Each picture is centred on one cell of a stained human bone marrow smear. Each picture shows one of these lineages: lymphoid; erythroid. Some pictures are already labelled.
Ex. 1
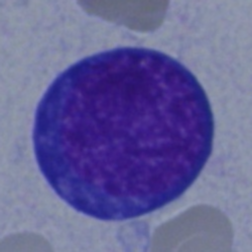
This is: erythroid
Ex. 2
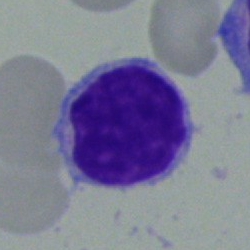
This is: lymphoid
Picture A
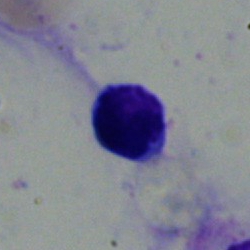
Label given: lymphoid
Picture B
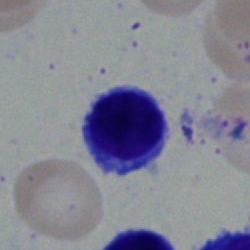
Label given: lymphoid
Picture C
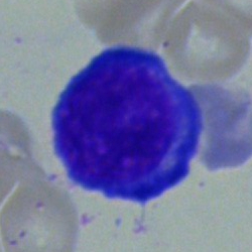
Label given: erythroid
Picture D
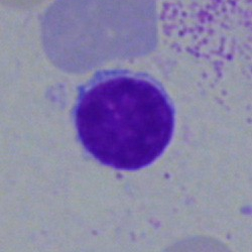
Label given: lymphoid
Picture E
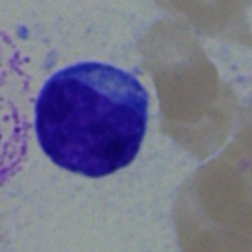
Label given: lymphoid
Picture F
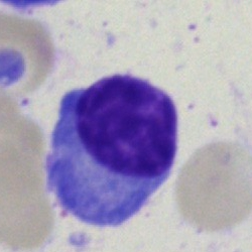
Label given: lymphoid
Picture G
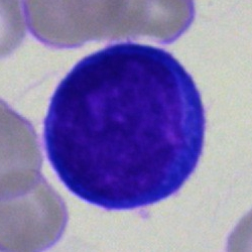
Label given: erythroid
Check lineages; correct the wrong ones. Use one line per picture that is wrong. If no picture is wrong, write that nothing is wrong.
All correct.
